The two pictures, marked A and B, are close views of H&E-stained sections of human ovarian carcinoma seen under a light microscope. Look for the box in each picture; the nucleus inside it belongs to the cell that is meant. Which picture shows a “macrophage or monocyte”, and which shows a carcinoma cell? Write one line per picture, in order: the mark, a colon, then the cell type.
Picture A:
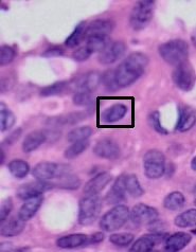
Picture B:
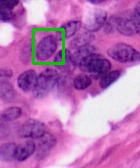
A: macrophage or monocyte
B: carcinoma cell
